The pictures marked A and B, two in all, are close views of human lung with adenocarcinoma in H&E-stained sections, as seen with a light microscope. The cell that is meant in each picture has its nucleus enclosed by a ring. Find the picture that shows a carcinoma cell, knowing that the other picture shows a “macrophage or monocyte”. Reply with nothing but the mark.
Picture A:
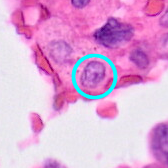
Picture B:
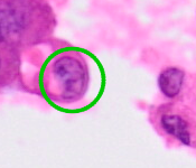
B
